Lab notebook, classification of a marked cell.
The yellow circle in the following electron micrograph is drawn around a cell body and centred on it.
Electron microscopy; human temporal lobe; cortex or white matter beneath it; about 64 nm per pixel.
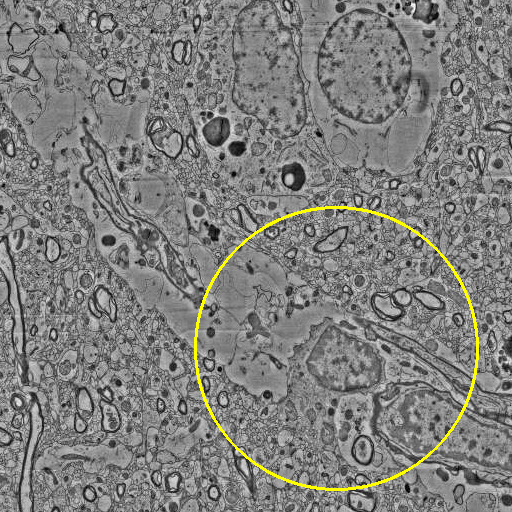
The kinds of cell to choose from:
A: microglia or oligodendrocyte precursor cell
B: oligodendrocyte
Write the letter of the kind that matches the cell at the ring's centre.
B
